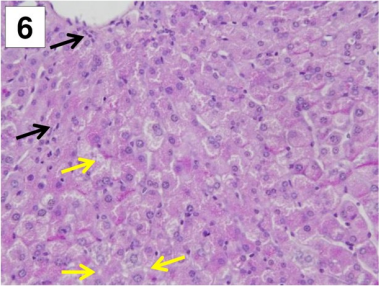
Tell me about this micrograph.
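This is liver tissue with cords of polygonal hepatocytes, each with a round central nucleus, stained in pinks and magentas, and a large clear vessel at the top. Some hepatocytes have pale, finely vacuolated cytoplasm, while small dark round nuclei of inflammatory cells gather near the vessel and between the cords of liver cells.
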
